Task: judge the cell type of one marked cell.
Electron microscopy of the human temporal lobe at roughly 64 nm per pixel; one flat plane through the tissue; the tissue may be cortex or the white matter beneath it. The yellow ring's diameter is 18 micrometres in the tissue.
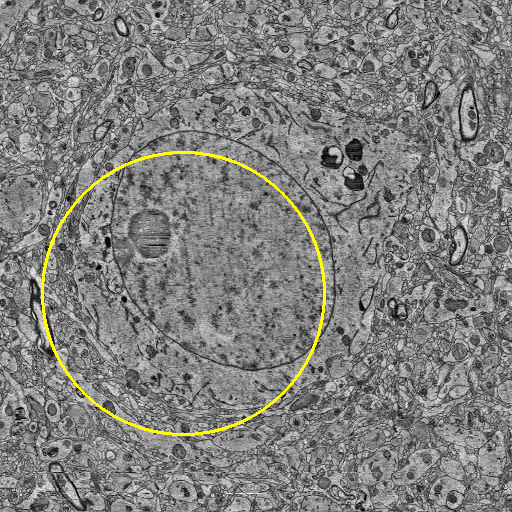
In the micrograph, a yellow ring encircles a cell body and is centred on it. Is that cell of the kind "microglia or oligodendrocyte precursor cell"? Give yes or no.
no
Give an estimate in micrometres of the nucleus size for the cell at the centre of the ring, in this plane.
Approximately 17 x 13 micrometres in this plane.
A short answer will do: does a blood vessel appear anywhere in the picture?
No.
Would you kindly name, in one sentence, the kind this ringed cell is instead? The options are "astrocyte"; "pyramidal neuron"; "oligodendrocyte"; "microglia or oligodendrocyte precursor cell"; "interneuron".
The ring's central cell is a pyramidal neuron instead.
